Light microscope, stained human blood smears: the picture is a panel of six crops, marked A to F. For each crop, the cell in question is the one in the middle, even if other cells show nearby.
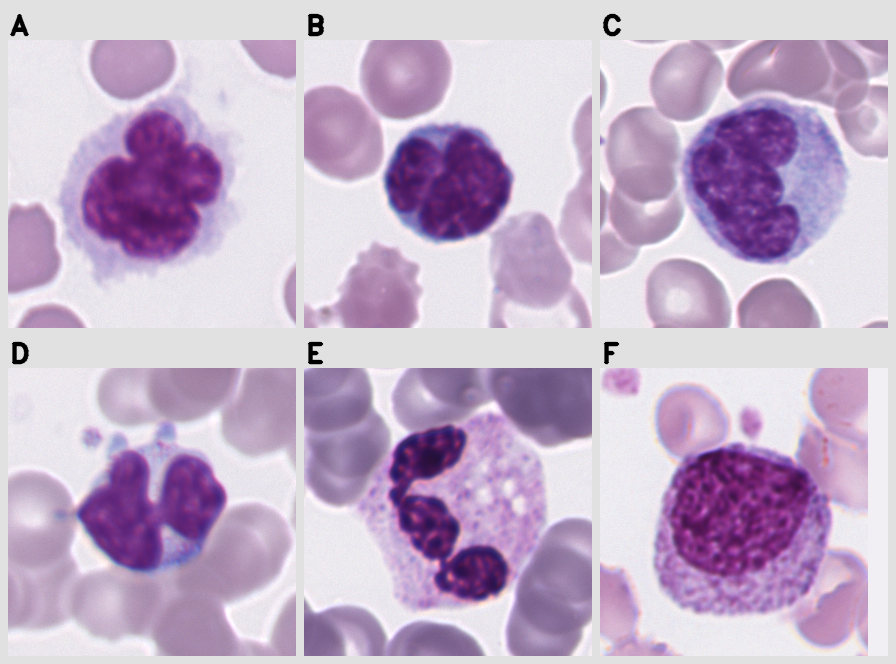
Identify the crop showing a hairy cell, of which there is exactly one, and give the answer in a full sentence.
Crop A is the one depicting a hairy cell.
